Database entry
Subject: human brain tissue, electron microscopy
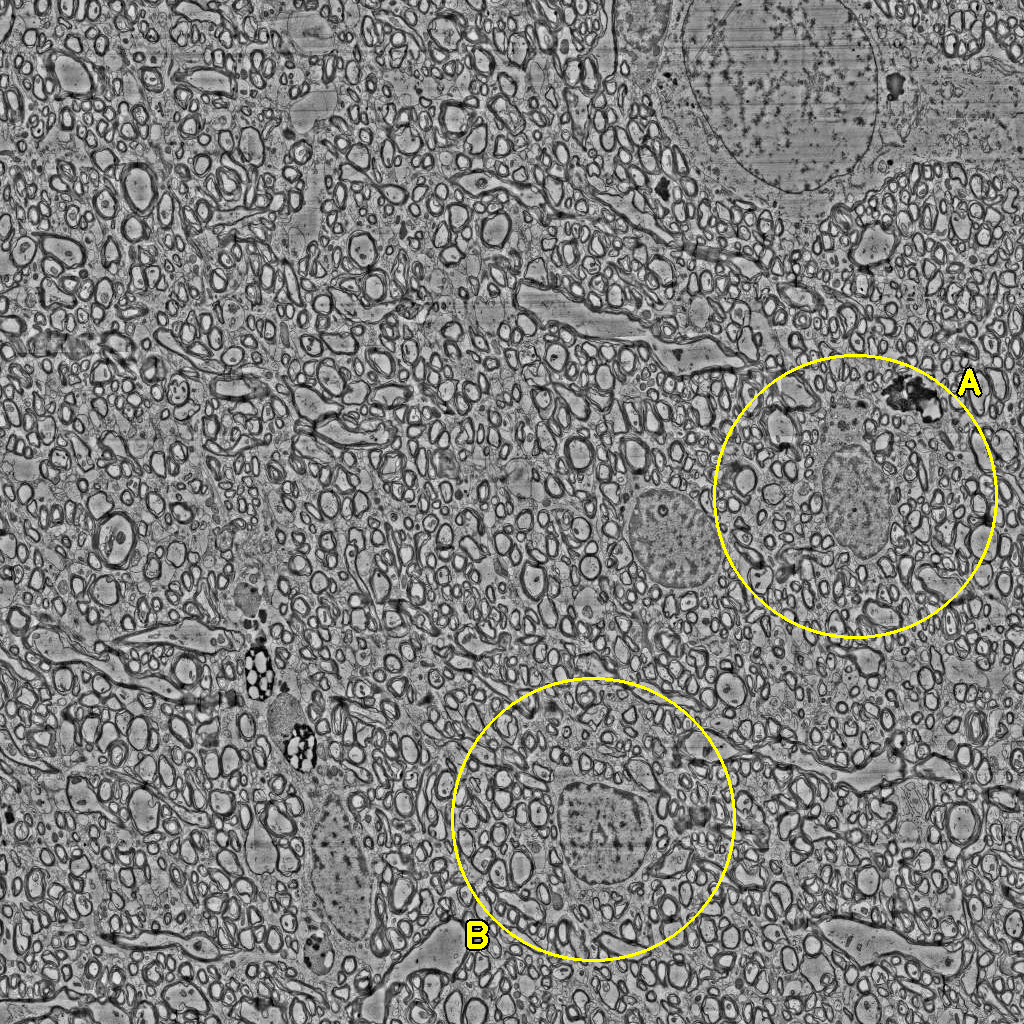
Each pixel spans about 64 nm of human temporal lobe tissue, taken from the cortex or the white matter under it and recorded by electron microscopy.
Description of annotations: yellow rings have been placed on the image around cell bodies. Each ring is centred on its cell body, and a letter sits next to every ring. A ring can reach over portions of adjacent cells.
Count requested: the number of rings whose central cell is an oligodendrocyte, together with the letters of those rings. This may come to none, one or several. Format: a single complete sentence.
Only one ring in the micrograph is centred on an oligodendrocyte, and its letter is A.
